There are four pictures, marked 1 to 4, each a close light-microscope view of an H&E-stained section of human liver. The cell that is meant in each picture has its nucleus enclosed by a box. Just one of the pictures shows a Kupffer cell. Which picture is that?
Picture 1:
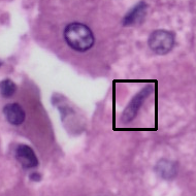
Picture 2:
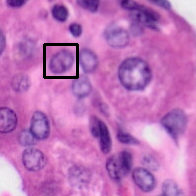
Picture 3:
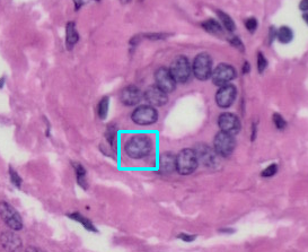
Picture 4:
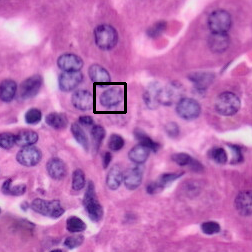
1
